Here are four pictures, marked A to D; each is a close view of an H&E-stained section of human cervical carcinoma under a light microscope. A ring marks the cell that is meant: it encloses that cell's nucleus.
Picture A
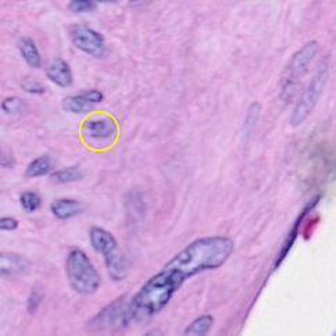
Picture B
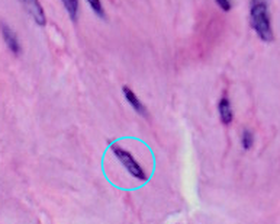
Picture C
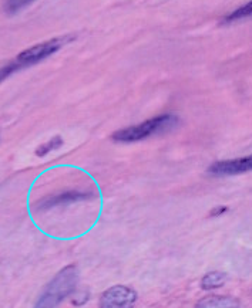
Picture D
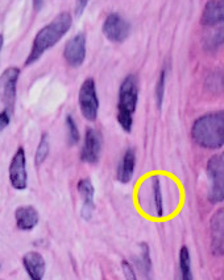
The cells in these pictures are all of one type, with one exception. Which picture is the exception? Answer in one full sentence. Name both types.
Picture A differs, because its cell is a smooth muscle cell and the rest are fibroblasts.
